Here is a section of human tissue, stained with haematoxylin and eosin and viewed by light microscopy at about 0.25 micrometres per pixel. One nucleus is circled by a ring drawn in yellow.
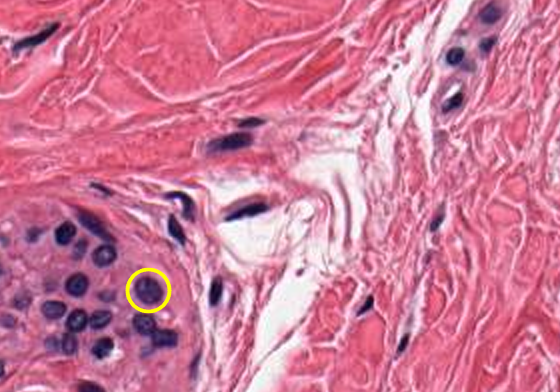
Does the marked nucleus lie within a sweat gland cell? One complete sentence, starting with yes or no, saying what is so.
Yes, the marked nucleus is identified as that of a sweat gland cell.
